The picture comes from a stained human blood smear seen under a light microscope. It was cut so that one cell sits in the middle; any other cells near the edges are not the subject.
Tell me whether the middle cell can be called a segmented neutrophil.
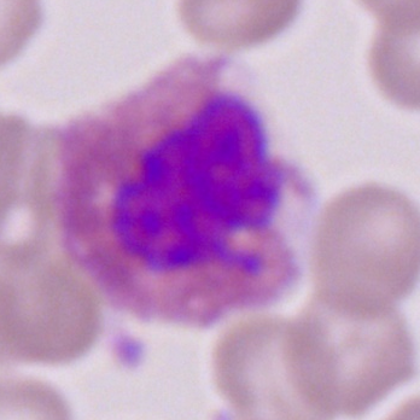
no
